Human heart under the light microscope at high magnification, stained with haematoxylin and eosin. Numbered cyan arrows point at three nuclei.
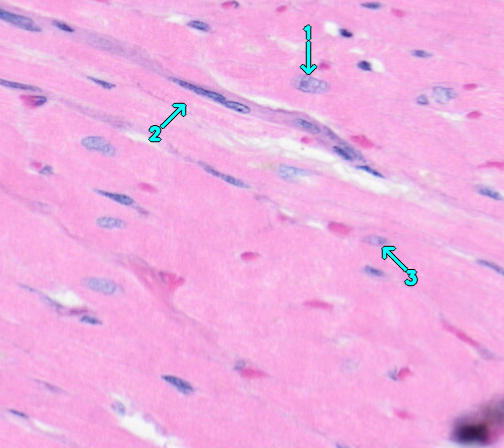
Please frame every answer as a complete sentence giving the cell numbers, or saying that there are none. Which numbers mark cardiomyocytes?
The cells numbered 1 and 3 are typed as cardiomyocytes.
